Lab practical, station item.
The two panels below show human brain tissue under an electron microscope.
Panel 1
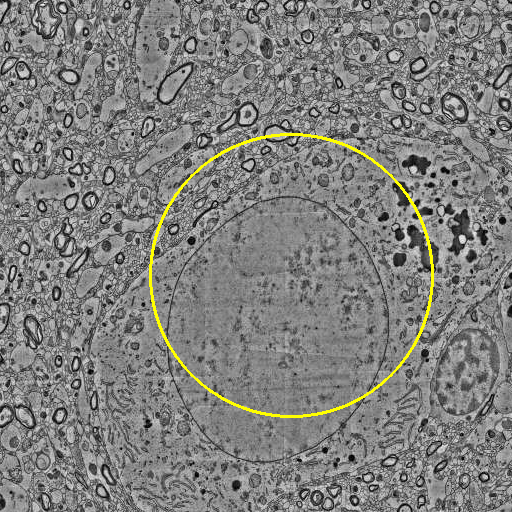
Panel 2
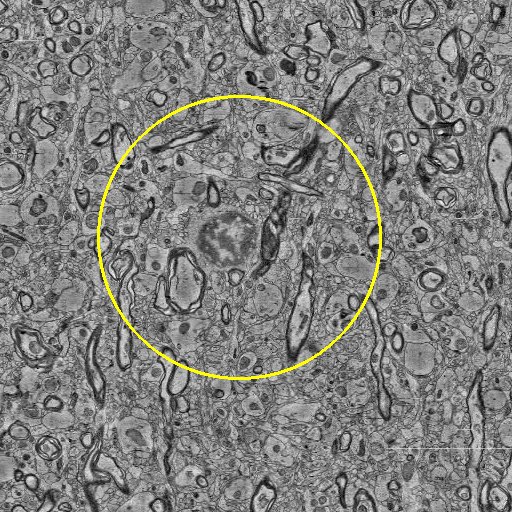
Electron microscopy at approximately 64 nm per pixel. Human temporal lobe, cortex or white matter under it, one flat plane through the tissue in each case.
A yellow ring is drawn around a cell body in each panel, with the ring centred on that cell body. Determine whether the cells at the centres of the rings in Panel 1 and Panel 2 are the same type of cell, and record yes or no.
no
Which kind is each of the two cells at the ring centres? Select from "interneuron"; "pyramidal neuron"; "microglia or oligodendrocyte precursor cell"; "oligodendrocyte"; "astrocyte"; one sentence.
The cell at the centre of the ring is a pyramidal neuron in the first picture and an oligodendrocyte in the second.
